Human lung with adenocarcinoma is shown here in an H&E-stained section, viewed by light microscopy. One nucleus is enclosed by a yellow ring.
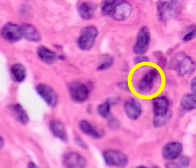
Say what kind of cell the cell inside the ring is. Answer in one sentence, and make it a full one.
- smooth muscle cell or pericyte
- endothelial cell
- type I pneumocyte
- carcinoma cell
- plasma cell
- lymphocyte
By cell type, the cell inside the ring is a plasma cell.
